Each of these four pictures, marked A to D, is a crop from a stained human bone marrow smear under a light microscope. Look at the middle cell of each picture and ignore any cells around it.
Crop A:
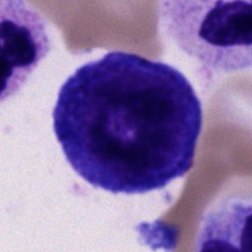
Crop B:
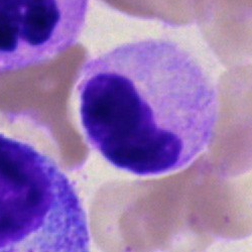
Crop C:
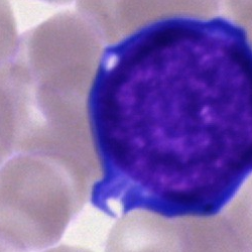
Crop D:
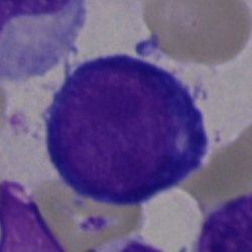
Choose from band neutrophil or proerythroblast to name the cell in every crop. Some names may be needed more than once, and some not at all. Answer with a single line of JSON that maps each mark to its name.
{"A": "proerythroblast", "B": "band neutrophil", "C": "proerythroblast", "D": "proerythroblast"}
